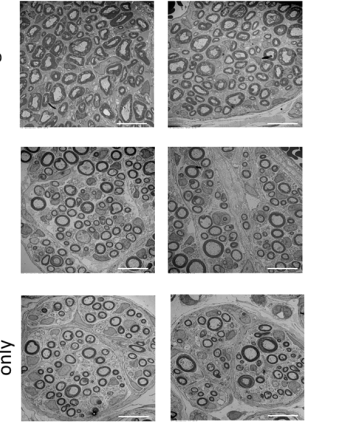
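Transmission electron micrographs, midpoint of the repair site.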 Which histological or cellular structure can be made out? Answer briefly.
myelinated and unmyelinated axons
